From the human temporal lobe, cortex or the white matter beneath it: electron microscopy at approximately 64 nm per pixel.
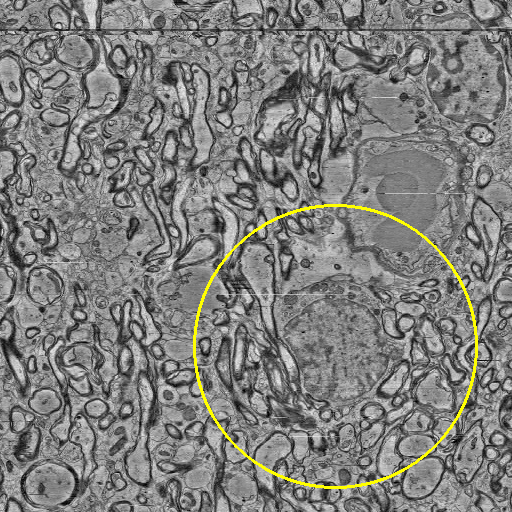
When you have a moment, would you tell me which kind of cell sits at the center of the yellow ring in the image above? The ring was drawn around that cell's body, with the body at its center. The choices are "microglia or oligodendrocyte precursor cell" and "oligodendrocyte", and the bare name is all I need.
oligodendrocyte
